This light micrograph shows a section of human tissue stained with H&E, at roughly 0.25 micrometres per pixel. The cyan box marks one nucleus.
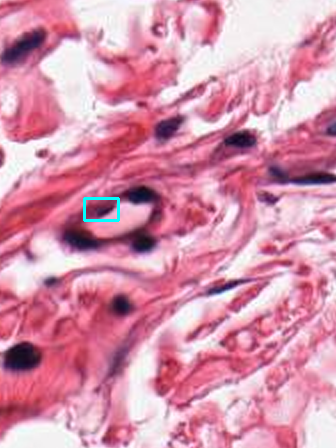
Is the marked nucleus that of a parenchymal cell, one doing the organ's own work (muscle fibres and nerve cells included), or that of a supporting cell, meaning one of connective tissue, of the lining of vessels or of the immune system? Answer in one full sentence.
The marked nucleus is part of a supporting cell.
